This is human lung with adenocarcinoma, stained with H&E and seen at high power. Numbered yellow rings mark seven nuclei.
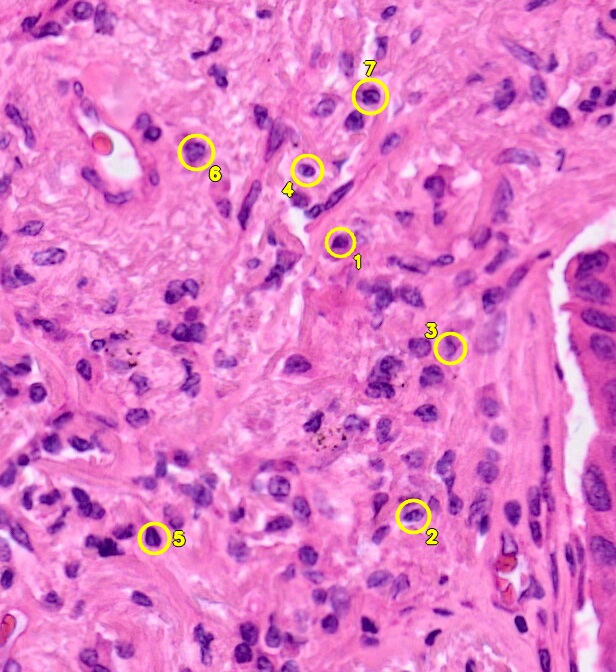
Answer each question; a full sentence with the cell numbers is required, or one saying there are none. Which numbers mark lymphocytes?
In this section, the cells labelled 2, 4 and 5 are lymphocytes.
